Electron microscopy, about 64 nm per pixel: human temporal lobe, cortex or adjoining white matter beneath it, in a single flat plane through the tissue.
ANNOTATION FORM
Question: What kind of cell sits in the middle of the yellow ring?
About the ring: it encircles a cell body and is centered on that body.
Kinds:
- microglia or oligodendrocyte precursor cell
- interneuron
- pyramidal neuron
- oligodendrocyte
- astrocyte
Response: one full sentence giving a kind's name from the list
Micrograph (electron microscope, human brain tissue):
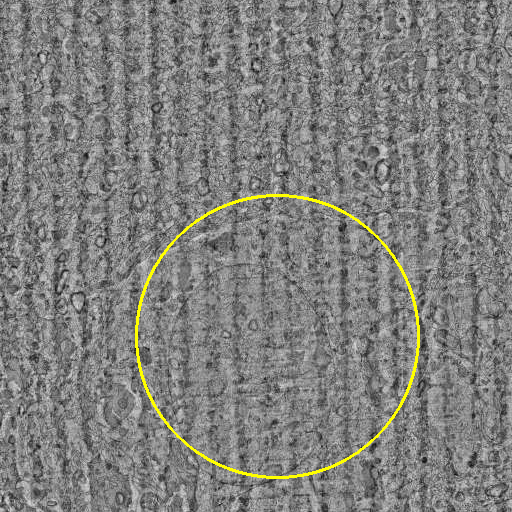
The kind of cell found at the center of the yellow ring in the micrograph is a pyramidal neuron.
